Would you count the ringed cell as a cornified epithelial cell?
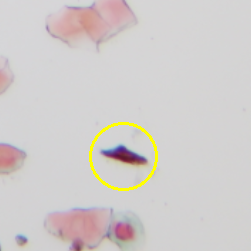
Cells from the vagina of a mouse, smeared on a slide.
Yes, I would count it as a cornified epithelial cell.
